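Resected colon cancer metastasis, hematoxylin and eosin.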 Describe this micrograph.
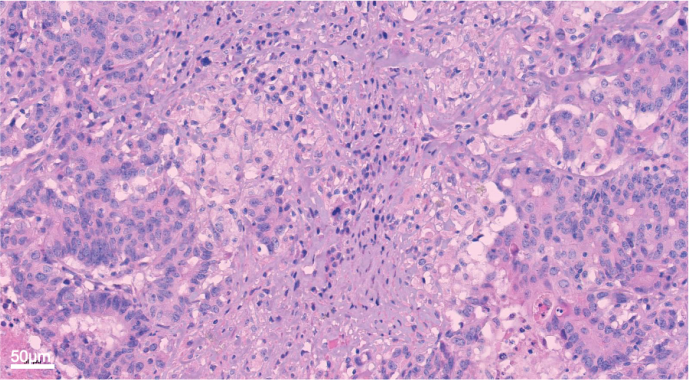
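At lower left, tumor cells form glands of tall columnar cells with elongated, crowded nuclei lined up around small lumens. Between the tumor, a mixed infiltrate of cells lies loosely: pale cells with foamy or clear cytoplasm in loose nests, and scattered small dark round nuclei. Clear spaces and pale vacuolated areas appear at right. Unlike a granuloma, the histiocytic cells are not packed into compact rounded nests.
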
